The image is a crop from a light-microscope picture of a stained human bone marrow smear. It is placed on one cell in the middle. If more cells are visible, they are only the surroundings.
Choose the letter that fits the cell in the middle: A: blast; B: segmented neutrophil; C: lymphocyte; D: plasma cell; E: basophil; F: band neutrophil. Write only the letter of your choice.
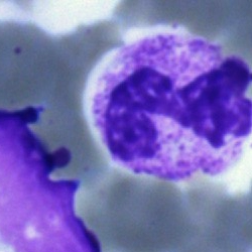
B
